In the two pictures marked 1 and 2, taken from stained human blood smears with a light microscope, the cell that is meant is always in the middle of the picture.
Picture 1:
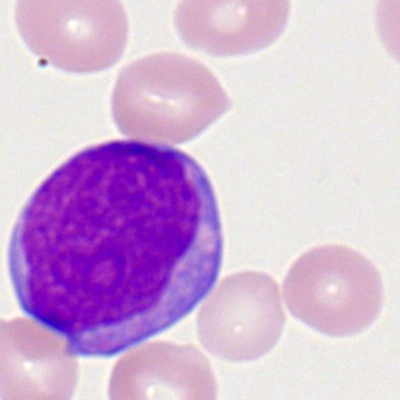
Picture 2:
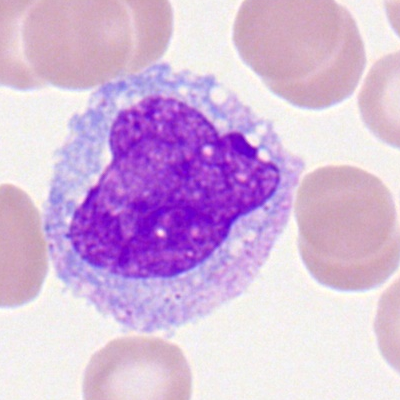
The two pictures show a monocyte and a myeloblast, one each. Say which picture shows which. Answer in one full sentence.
It is picture 1 that shows a myeloblast, and picture 2 that shows a monocyte.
